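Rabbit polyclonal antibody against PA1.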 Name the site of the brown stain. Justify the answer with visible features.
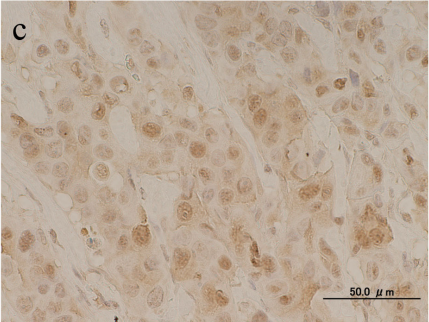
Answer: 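Mixed nuclear and cytoplasmic. Many nuclei are brown. The cytoplasm around them is also light brown.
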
